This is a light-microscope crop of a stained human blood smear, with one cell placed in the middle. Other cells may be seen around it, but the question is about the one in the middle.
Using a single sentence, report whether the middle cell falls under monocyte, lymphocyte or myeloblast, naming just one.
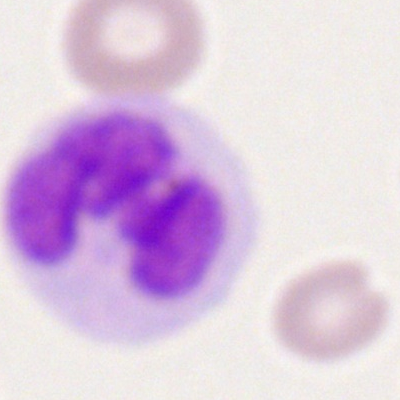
The centrally placed cell is classified as a monocyte.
